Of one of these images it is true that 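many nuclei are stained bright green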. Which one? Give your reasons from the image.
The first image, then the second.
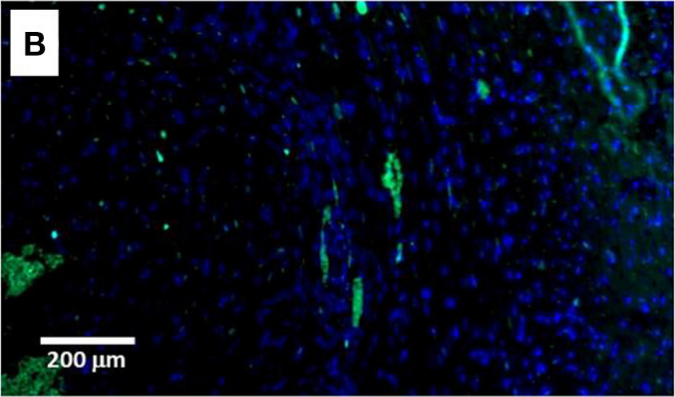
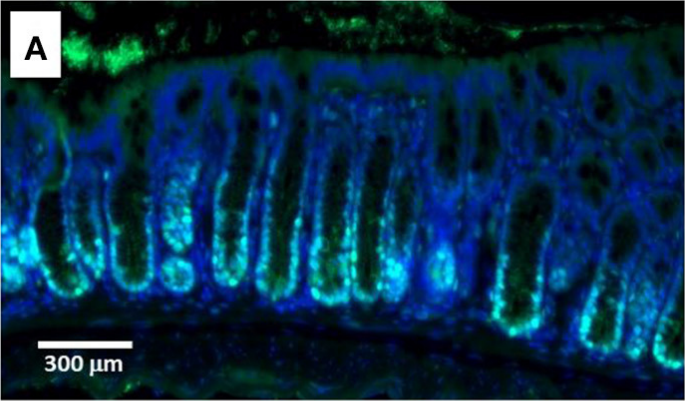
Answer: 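The second image. Second image: dense bright green-cyan staining along the bases of many glands.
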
